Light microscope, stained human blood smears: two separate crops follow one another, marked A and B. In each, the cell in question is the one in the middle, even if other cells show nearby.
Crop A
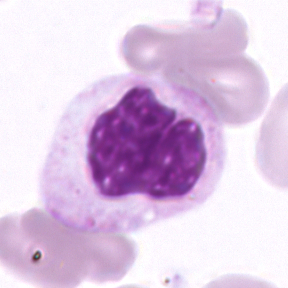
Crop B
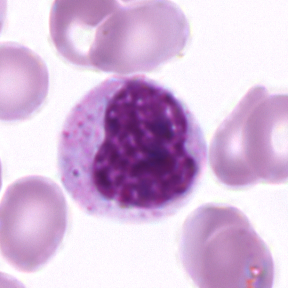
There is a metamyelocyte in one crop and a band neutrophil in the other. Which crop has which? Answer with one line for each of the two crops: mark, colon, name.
A: band neutrophil
B: metamyelocyte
